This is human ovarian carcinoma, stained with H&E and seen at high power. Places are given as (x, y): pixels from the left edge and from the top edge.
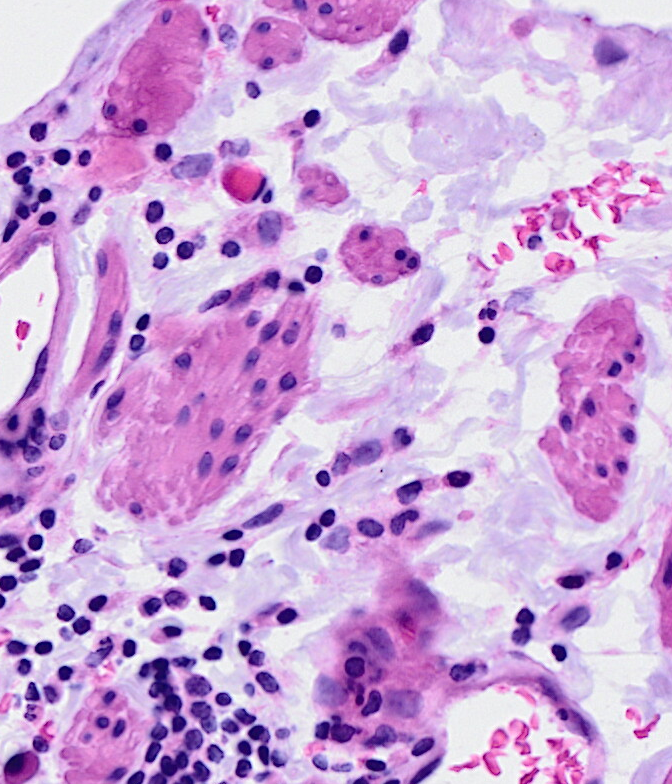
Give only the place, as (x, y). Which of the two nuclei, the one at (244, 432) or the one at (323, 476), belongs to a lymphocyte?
(323, 476)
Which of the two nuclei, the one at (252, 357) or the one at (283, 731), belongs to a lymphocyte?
(283, 731)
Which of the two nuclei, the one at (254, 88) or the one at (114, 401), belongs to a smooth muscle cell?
(114, 401)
